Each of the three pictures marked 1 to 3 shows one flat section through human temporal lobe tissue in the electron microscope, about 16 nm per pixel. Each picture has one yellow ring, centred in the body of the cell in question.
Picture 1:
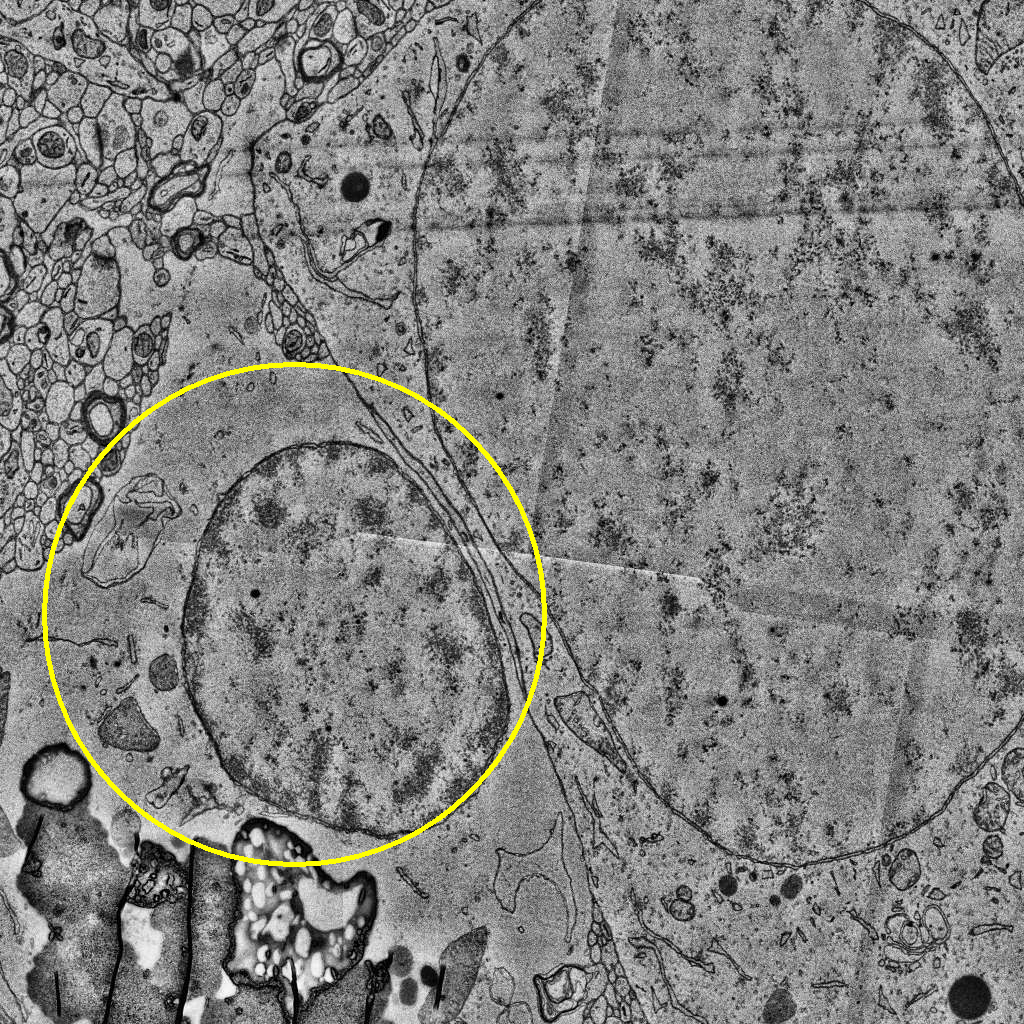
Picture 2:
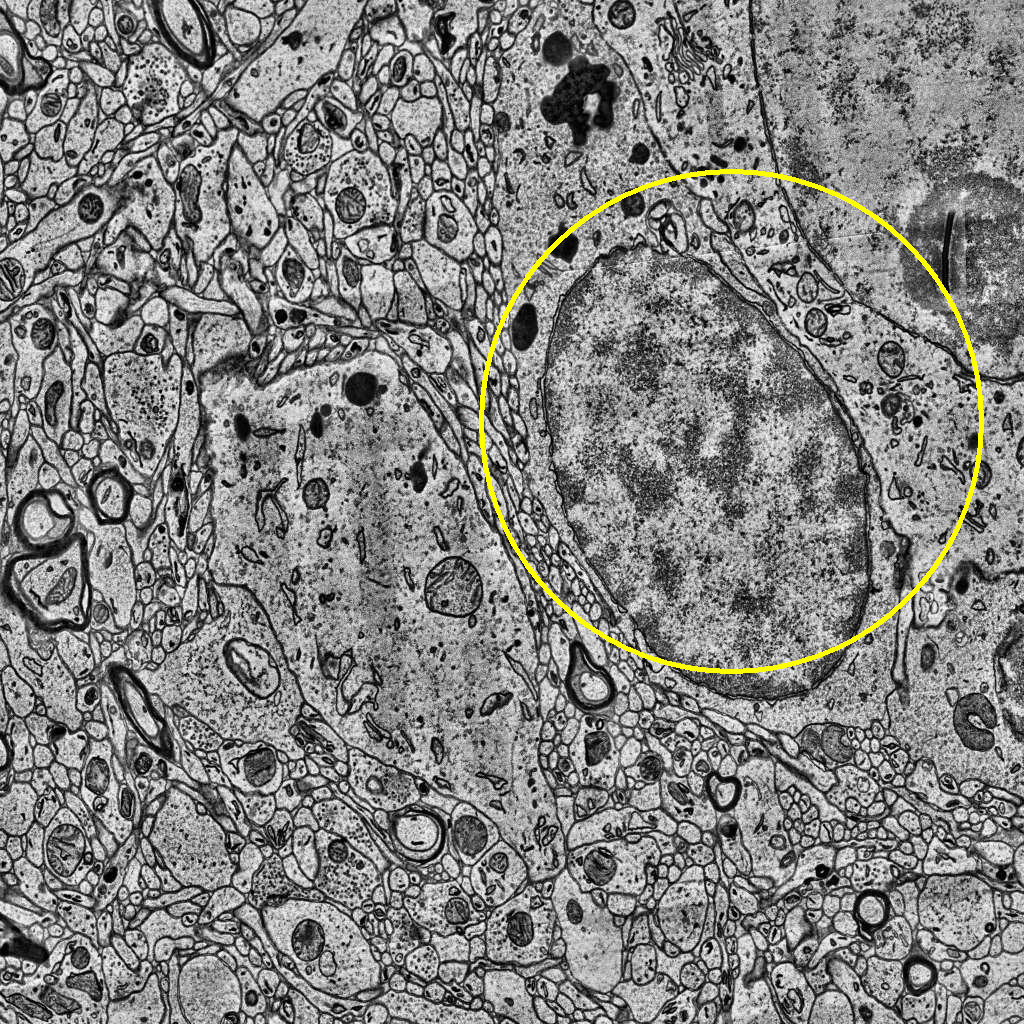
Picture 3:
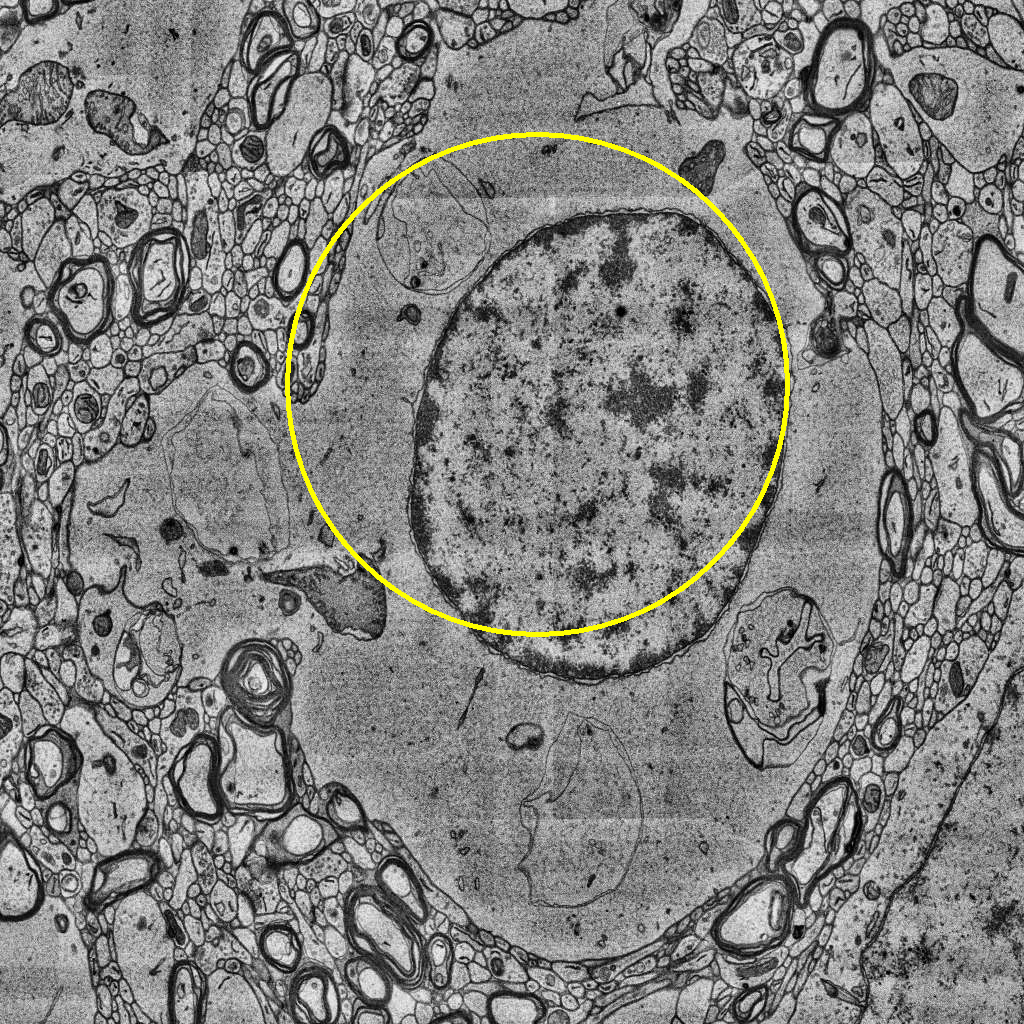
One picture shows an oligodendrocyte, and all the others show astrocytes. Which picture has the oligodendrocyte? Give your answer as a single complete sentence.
Picture 2 shows the oligodendrocyte.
